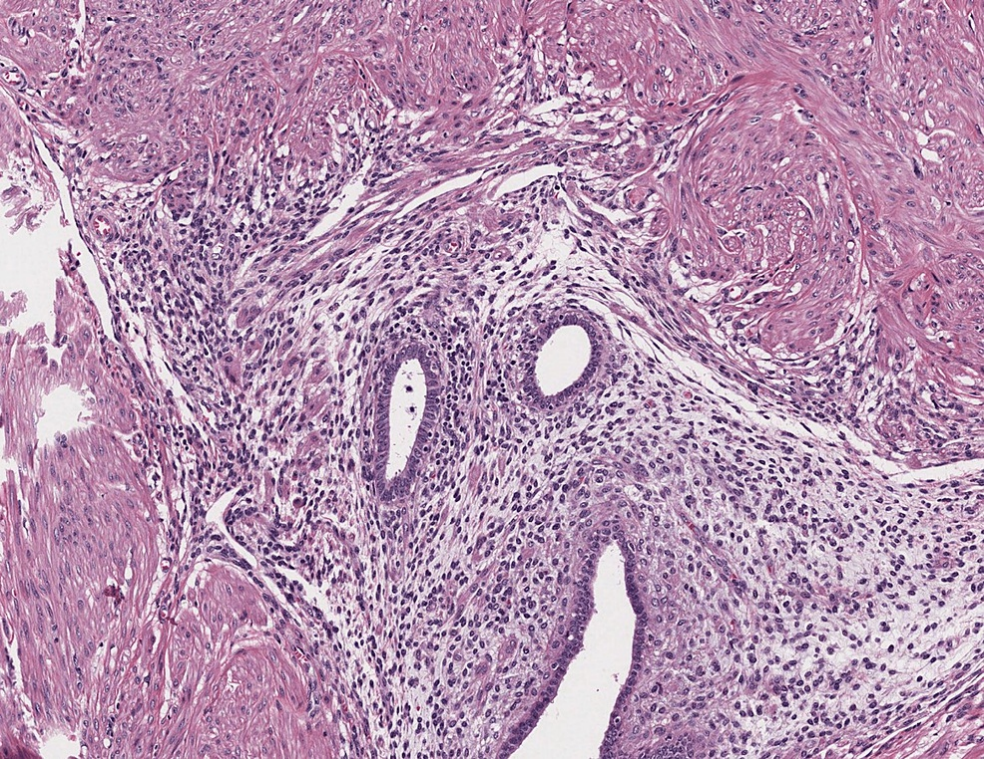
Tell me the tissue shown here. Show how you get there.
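Endometrial glands and stroma. Small round to oval glands lined by a single layer of columnar epithelium with dark nuclei. The glands sit in a densely cellular stroma of small cells with oval dark nuclei. This cellular focus lies among pink muscle bundles.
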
